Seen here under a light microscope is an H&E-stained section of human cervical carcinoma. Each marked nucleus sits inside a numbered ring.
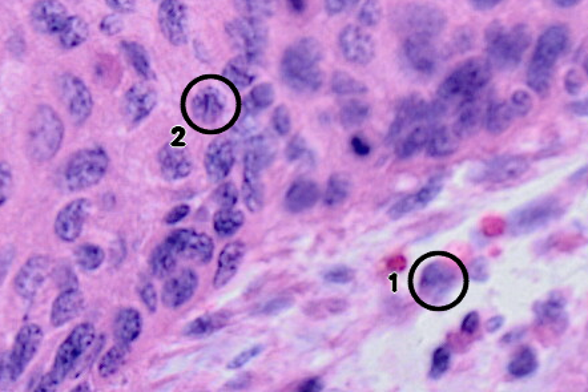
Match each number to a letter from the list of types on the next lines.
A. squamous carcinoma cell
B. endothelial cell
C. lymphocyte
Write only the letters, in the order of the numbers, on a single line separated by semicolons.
B; A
